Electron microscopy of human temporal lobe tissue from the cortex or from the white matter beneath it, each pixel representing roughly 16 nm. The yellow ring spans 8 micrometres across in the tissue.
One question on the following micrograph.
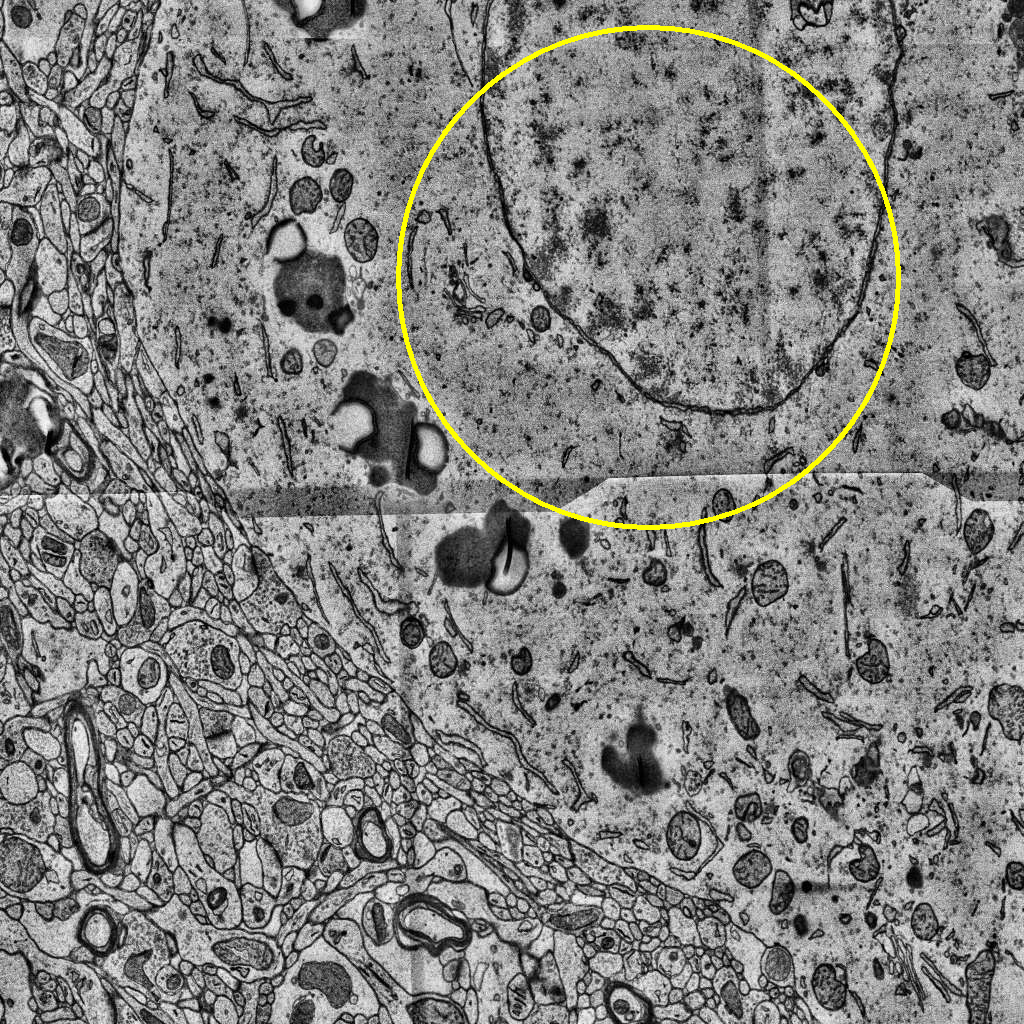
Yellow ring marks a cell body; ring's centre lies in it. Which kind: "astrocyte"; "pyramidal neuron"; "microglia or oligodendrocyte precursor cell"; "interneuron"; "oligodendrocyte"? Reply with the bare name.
pyramidal neuron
